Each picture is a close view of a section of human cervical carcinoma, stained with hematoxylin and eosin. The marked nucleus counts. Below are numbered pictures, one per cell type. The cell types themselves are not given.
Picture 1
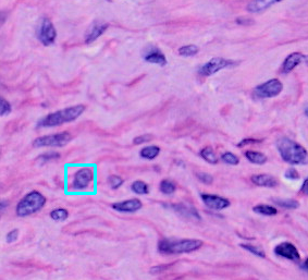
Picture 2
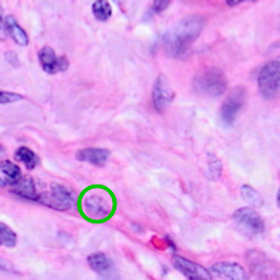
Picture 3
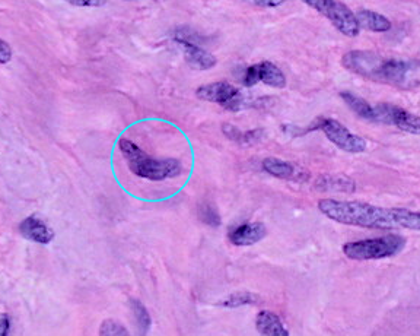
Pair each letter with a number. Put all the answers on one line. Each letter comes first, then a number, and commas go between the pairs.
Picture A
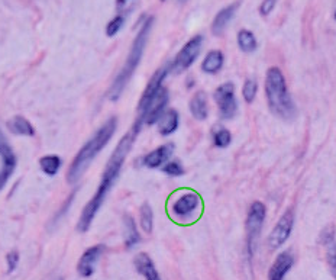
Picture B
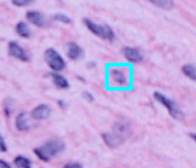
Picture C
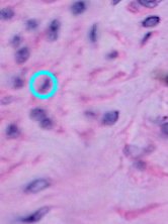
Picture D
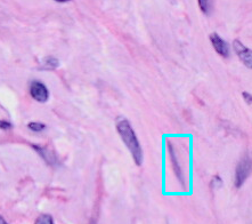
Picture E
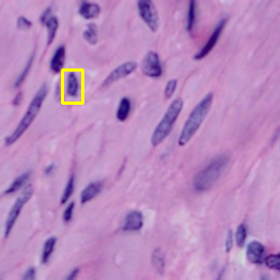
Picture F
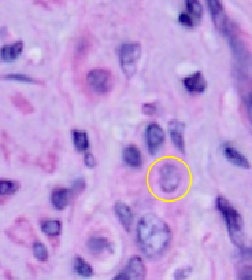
A 1, B 1, C 1, D 3, E 3, F 2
